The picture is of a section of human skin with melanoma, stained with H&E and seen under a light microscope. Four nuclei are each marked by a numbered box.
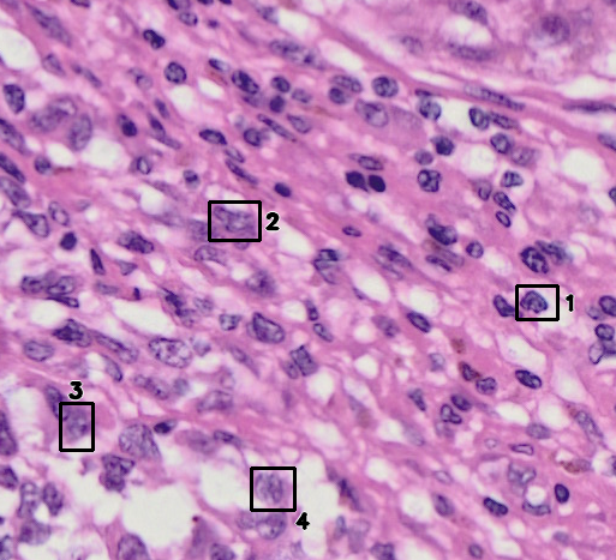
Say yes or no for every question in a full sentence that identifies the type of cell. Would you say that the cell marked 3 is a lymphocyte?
No, cell 3 is classified as a melanoma cell rather than a lymphocyte.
